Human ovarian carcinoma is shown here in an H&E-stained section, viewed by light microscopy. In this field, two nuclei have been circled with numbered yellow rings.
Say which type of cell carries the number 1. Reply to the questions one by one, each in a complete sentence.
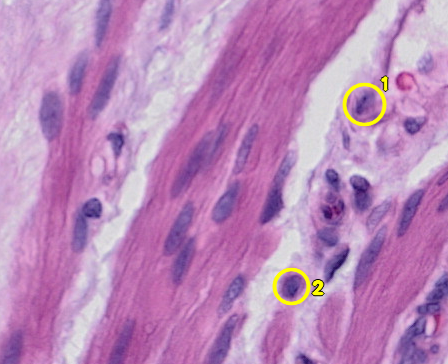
Cell 1 is classified as an endothelial cell.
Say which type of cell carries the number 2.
The cell indicated by marker 2 is a smooth muscle cell in this section.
